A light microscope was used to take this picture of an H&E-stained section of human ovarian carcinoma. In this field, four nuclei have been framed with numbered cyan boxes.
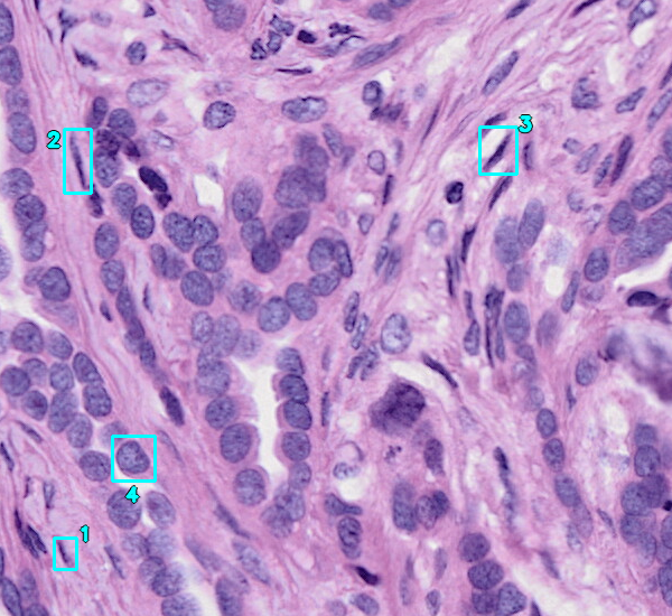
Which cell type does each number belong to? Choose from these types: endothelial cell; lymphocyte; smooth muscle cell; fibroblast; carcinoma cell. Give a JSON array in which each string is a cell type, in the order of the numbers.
["fibroblast", "fibroblast", "fibroblast", "carcinoma cell"]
